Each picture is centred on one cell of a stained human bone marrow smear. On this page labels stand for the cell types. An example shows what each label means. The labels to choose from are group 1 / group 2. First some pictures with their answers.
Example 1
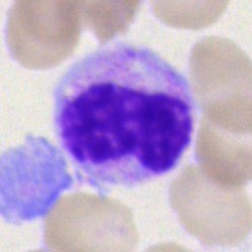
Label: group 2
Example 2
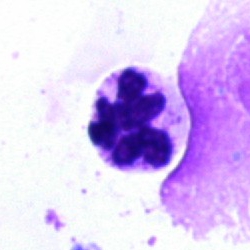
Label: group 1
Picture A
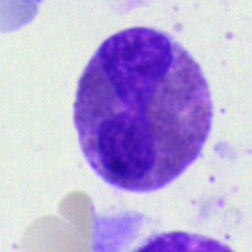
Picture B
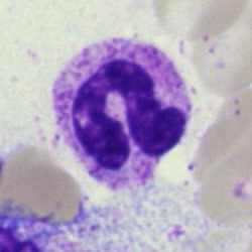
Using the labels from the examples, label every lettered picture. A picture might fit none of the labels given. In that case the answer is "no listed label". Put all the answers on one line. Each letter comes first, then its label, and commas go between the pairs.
A no listed label, B group 1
